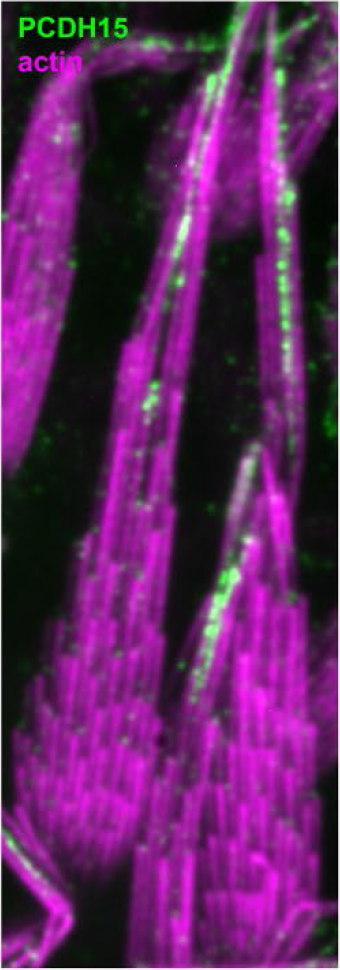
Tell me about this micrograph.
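Vestibular hair bundles are shown, with magenta stereocilia arranged in a steep staircase that tapers into tall, narrow bundles. Long, thin processes extend far above the shorter stereocilia. Green beaded lines run along the tallest of these processes, while the rest of the field carries only sparse green puncta.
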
